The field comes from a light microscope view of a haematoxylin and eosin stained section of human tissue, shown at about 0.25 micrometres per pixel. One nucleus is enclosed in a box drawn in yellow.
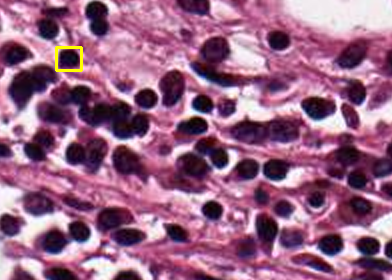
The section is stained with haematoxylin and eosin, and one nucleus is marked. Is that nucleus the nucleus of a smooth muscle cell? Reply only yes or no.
no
